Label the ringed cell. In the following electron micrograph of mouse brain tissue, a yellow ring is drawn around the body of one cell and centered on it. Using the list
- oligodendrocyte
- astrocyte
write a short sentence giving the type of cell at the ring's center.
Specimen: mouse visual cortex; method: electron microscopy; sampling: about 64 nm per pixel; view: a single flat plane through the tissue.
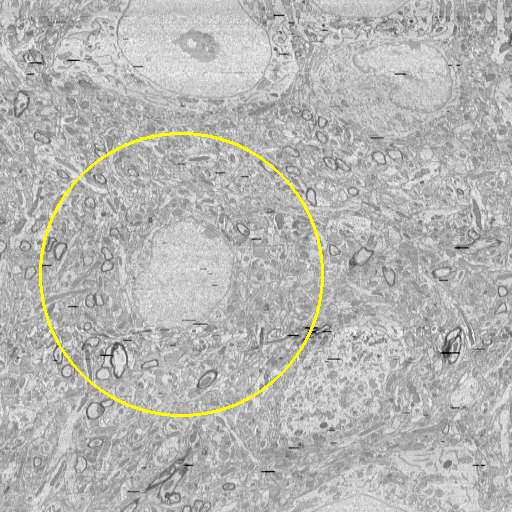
The cell body at the ring's center is that of an astrocyte.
